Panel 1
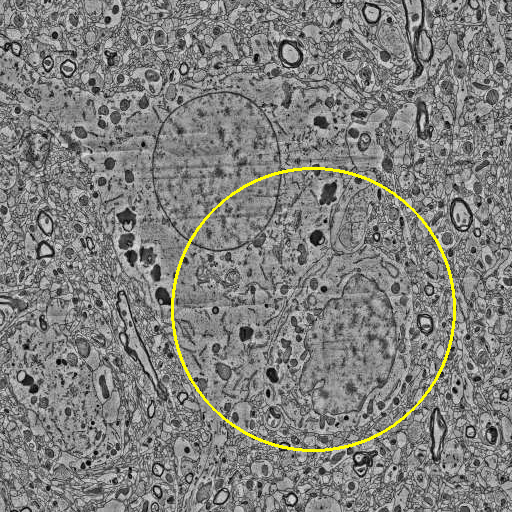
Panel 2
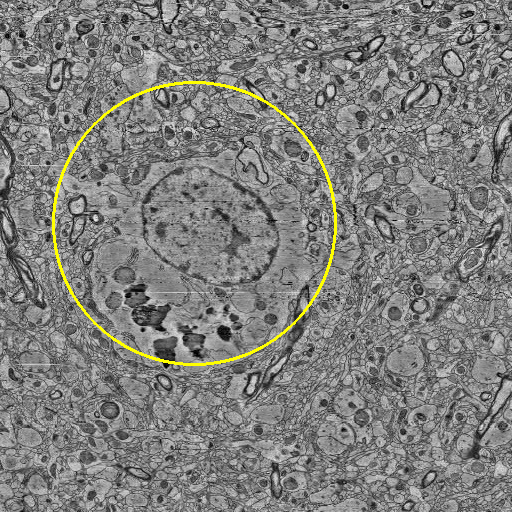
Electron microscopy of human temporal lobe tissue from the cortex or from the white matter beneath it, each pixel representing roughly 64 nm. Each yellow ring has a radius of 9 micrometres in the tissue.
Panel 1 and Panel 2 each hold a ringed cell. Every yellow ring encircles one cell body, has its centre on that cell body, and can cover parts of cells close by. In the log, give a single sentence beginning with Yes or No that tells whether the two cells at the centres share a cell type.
No, in Panel 1 and Panel 2 the centred cells are of two cell types.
